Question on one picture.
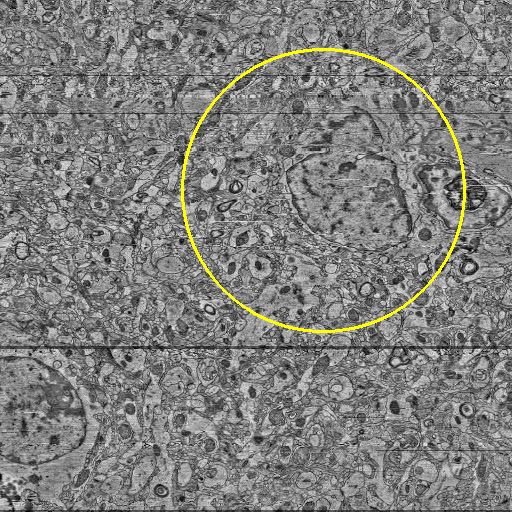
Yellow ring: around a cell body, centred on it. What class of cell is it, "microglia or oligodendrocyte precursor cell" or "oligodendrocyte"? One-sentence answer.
This is a microglial cell or oligodendrocyte precursor cell, the cell the ring is centred on.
